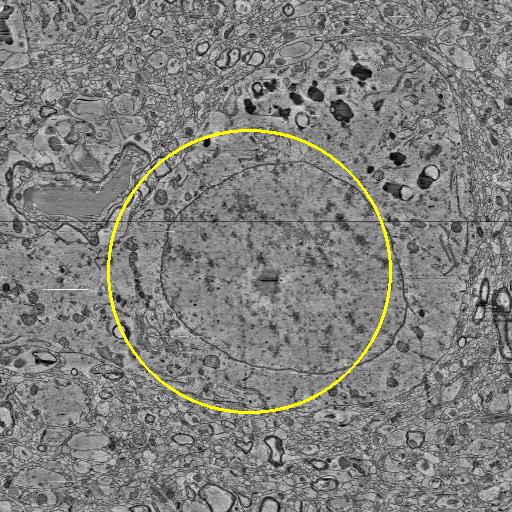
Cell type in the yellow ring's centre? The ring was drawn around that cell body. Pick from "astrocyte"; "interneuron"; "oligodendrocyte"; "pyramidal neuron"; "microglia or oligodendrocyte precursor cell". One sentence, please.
The ringed cell body is that of a pyramidal neuron.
